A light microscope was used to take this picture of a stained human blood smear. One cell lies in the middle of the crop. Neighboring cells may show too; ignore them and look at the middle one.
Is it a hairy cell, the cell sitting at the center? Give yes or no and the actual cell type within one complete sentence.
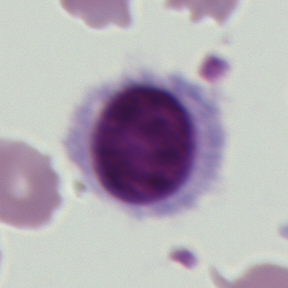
Yes, the cell in the middle is recognised as a hairy cell.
